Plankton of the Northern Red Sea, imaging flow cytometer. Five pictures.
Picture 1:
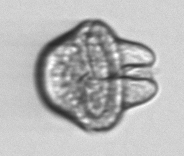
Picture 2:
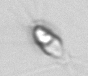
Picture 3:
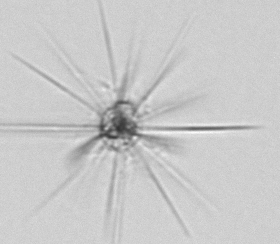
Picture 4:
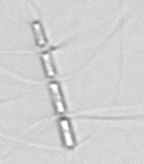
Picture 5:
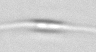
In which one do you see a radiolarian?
In picture 3.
